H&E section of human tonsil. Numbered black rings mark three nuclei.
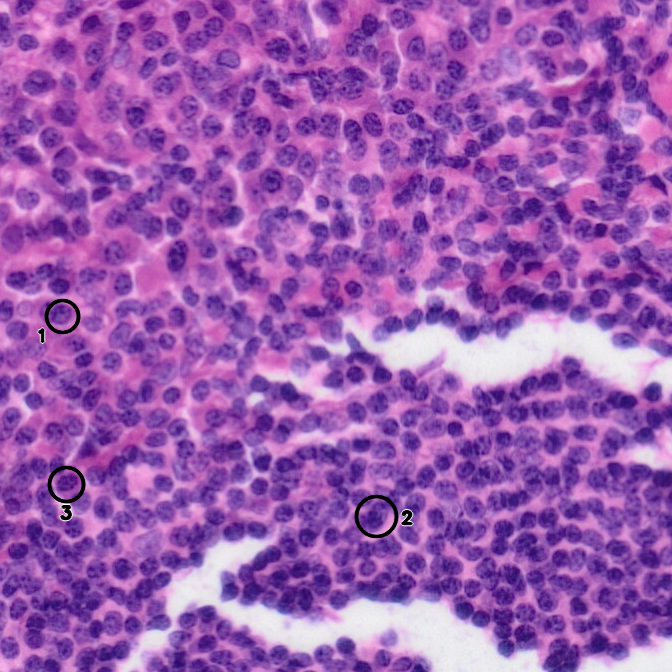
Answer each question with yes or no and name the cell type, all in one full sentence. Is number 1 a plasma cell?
Yes, the cell indicated by number 1 is a plasma cell.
